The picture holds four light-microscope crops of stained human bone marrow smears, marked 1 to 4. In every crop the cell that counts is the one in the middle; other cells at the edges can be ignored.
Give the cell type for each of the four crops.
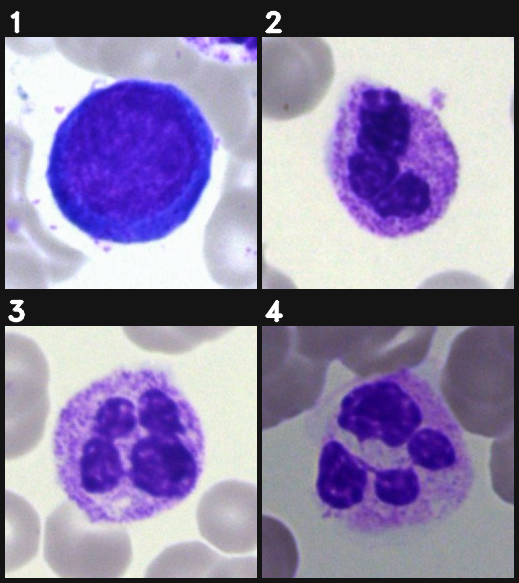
1: proerythroblast
2: segmented neutrophil
3: segmented neutrophil
4: segmented neutrophil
